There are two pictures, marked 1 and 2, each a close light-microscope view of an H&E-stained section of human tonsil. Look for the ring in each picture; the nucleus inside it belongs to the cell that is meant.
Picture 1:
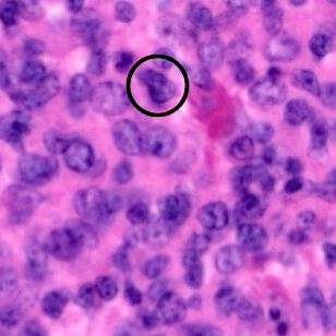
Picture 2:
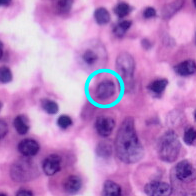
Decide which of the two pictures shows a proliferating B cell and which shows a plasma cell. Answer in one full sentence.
It is picture 1 that shows a proliferating B cell, and picture 2 that shows a plasma cell.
